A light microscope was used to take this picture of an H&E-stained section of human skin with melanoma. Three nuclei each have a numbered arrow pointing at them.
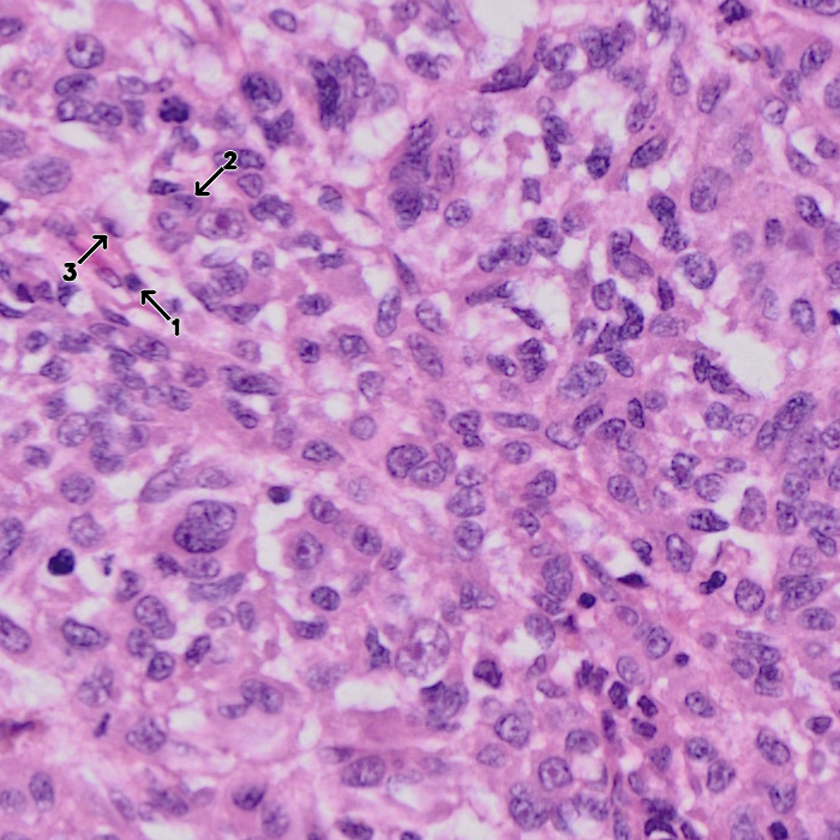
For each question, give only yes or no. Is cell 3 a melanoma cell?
no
